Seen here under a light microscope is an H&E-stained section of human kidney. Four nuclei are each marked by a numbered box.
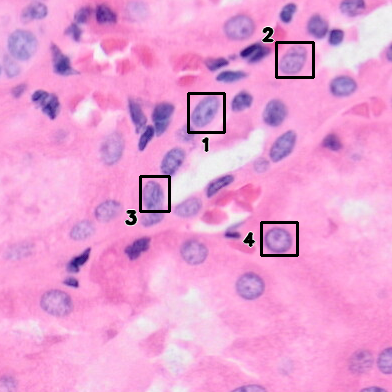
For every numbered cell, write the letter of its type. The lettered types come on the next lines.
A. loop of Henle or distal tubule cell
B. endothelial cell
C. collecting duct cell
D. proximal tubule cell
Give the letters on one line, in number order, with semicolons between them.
C; A; C; D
